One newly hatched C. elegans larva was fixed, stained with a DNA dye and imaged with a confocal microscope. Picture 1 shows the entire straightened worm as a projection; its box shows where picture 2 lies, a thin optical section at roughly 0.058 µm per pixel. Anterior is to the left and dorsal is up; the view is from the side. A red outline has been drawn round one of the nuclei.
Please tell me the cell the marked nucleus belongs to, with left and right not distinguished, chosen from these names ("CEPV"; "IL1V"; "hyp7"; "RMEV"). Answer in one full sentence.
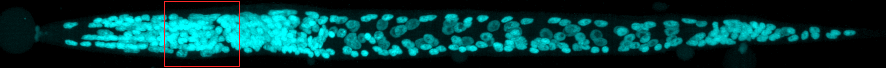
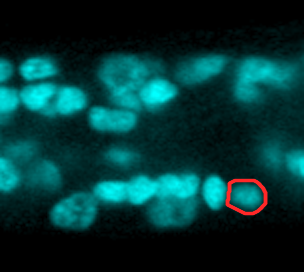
It belongs to RMEV, a neuron.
